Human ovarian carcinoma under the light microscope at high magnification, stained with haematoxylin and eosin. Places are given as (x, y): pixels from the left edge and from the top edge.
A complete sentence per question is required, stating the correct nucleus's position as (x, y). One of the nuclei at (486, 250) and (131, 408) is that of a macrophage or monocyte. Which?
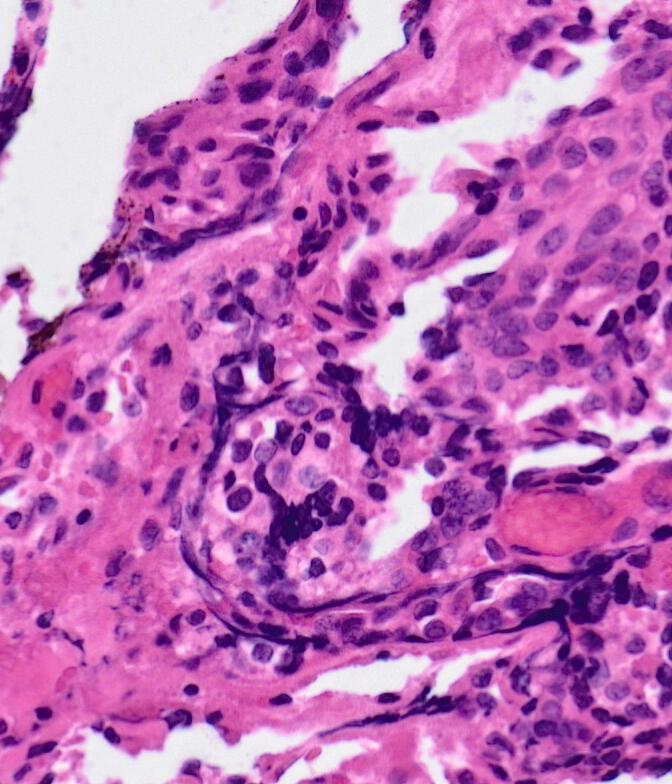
Of the two options, the nucleus at (131, 408) is the one that belongs to a macrophage or monocyte.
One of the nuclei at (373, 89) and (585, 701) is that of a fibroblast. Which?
That would be the nucleus at (373, 89); it belongs to a fibroblast.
